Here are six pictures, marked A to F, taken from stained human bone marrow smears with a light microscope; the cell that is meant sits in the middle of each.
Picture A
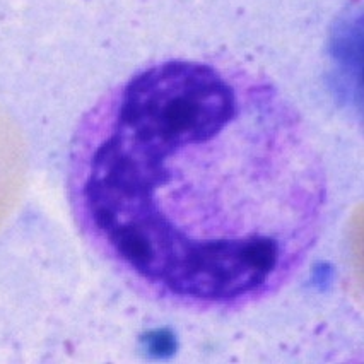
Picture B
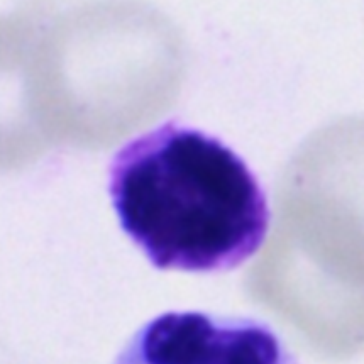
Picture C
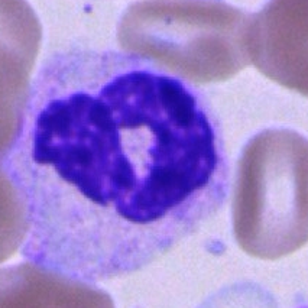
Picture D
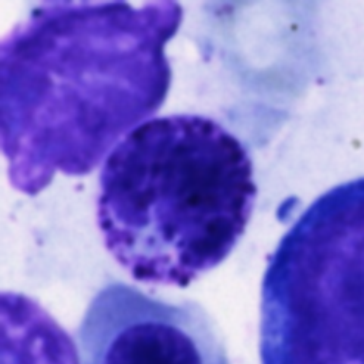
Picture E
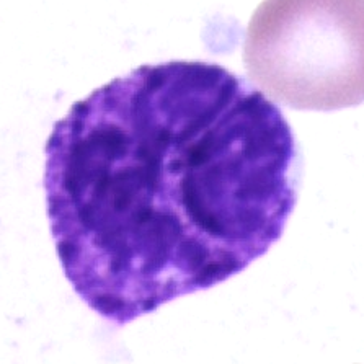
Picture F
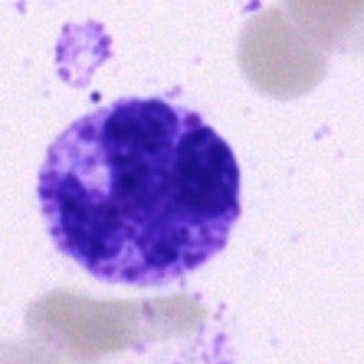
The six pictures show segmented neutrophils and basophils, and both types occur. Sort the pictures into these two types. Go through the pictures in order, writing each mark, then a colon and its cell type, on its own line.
A: segmented neutrophil
B: basophil
C: segmented neutrophil
D: basophil
E: basophil
F: basophil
